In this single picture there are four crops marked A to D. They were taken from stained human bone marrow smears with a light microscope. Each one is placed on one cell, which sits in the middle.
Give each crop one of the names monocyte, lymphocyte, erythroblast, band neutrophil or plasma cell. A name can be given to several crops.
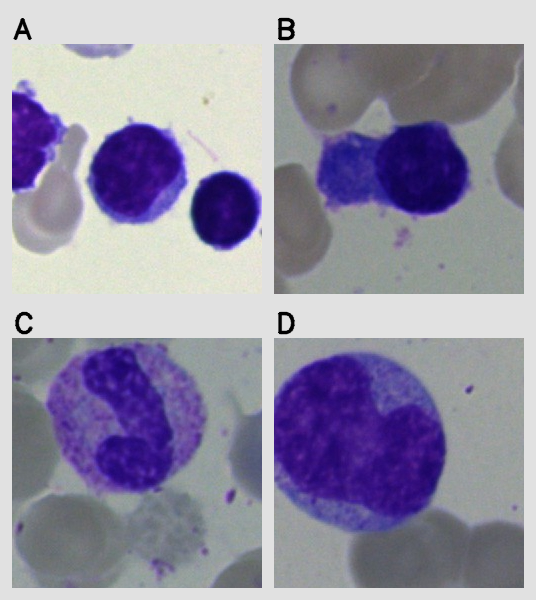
A: lymphocyte
B: plasma cell
C: band neutrophil
D: monocyte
